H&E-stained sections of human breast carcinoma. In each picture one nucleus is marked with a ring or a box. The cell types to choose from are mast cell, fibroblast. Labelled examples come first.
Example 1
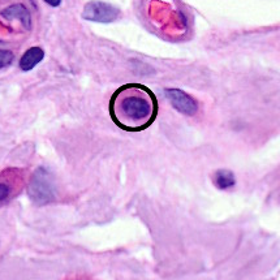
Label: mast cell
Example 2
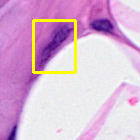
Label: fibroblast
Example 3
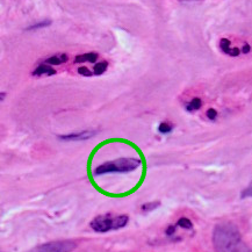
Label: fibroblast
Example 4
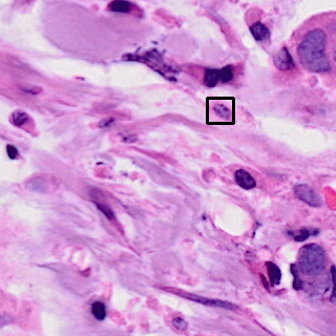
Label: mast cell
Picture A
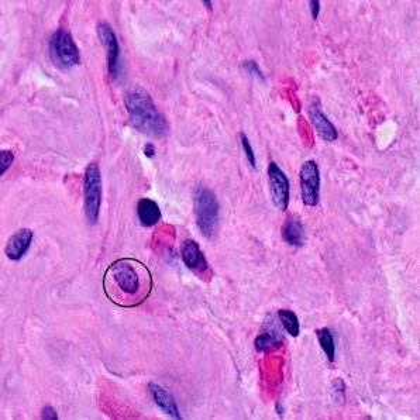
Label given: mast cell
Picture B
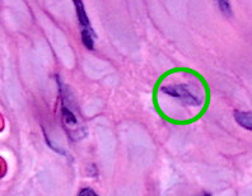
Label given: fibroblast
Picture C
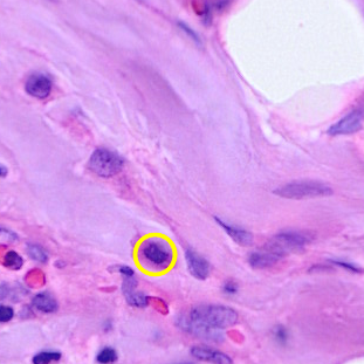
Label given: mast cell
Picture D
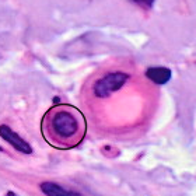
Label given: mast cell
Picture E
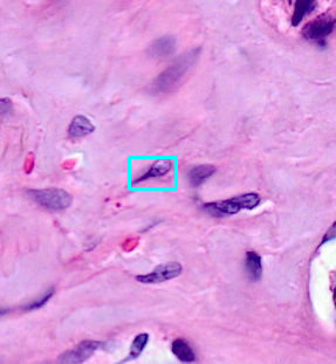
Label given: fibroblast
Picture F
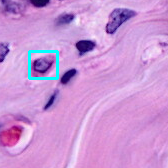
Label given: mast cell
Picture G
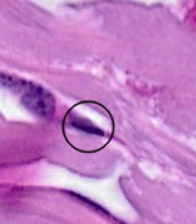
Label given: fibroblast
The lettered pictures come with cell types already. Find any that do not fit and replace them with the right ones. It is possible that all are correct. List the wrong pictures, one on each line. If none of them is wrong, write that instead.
All correct.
